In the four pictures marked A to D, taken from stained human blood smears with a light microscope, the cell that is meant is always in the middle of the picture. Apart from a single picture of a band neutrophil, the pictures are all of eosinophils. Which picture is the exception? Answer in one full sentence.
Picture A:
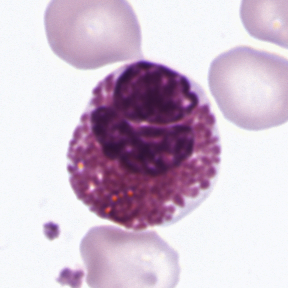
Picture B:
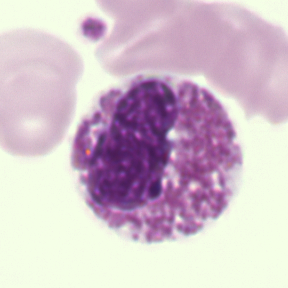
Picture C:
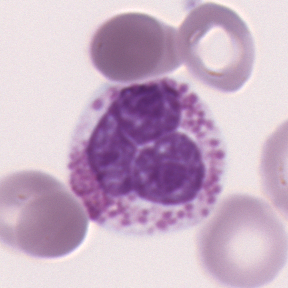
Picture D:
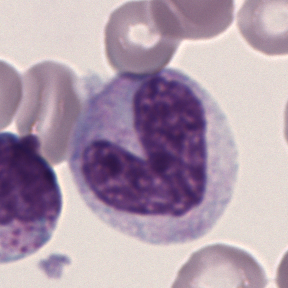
The picture with the band neutrophil is D.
